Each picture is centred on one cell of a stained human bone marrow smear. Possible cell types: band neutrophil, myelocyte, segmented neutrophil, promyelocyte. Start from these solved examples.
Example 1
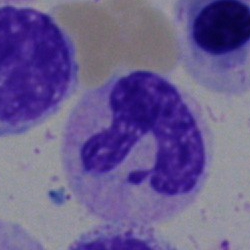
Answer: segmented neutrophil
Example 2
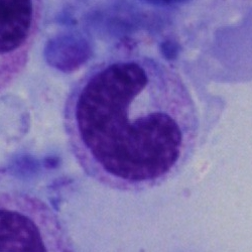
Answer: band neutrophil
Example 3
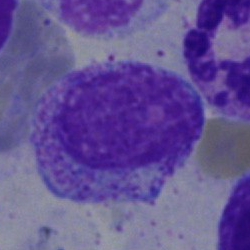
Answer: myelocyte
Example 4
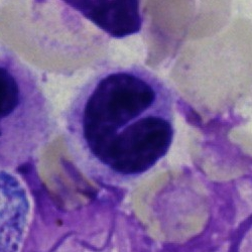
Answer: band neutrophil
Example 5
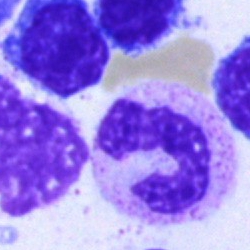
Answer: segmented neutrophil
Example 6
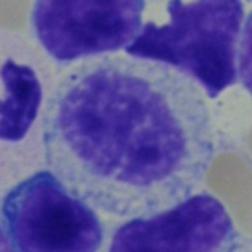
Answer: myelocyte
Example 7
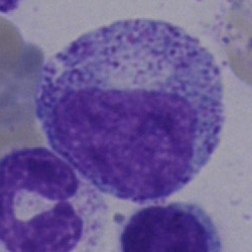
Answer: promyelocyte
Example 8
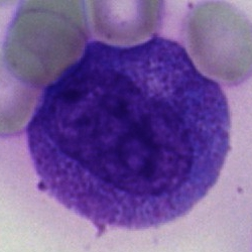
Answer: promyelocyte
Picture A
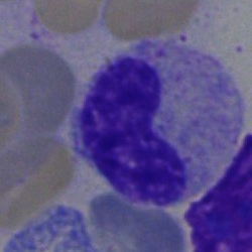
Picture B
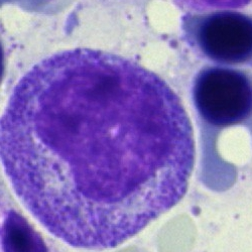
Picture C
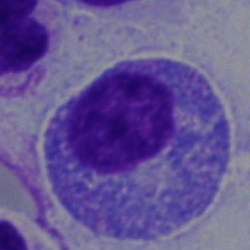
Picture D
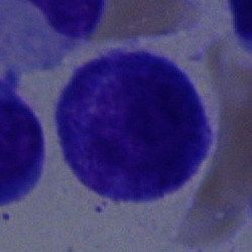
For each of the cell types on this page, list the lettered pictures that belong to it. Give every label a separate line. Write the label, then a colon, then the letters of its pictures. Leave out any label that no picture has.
band neutrophil: A
myelocyte: B
promyelocyte: C, D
